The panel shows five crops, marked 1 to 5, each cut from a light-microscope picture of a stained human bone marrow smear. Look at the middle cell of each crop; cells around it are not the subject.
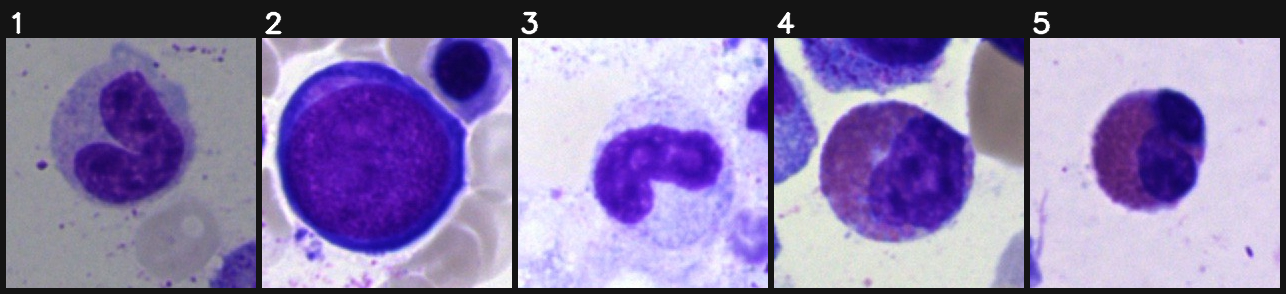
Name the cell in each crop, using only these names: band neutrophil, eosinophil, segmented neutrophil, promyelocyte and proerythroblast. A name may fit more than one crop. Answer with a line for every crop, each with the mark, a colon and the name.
1: band neutrophil
2: proerythroblast
3: band neutrophil
4: eosinophil
5: eosinophil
